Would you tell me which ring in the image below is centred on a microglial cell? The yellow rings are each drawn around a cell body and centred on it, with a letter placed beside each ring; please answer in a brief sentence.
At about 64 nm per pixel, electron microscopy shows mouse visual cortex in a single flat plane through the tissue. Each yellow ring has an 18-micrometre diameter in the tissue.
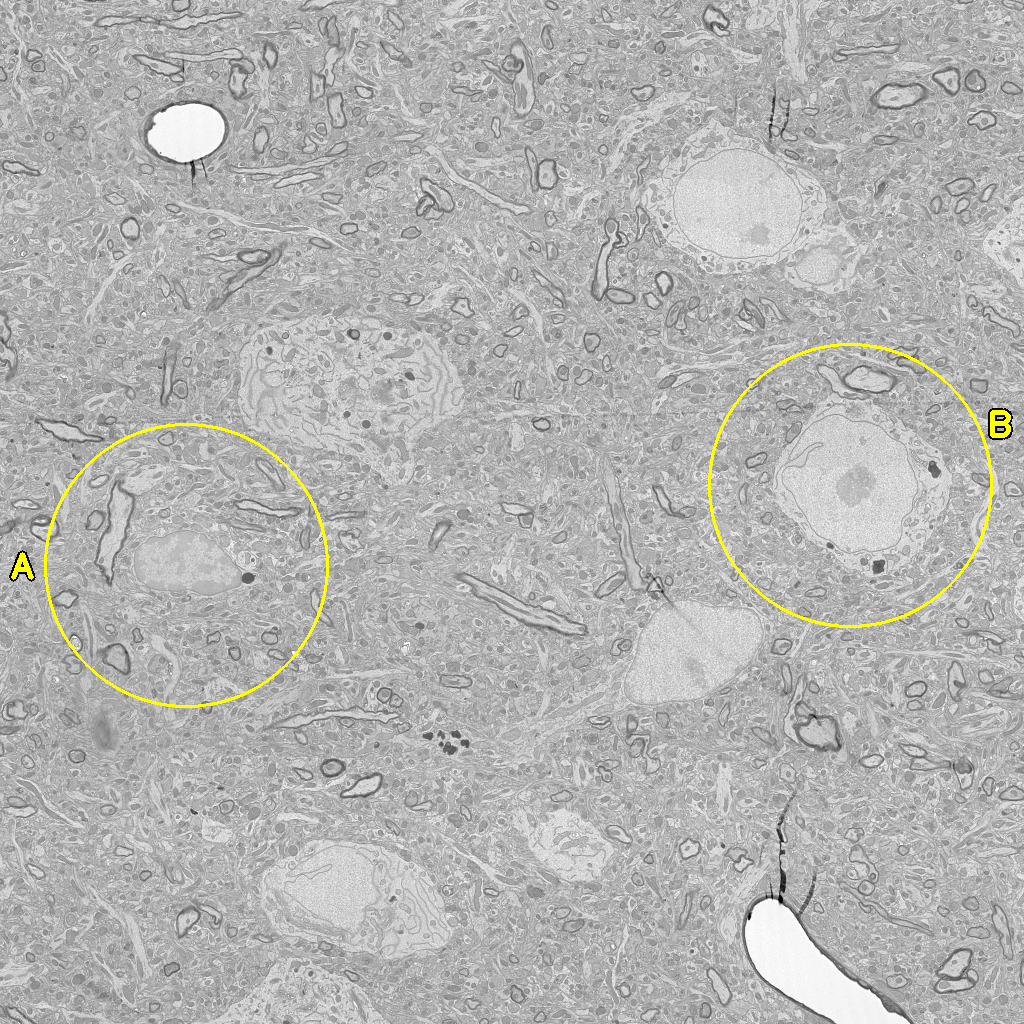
Ring A is centred on it.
